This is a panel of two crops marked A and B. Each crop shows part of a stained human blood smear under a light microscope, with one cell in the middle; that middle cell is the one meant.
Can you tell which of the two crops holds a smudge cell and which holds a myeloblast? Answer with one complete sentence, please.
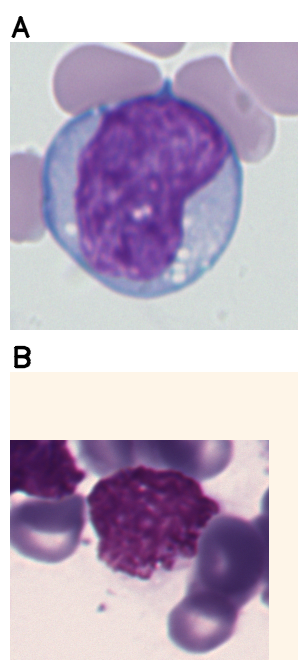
Crop A has been identified as a myeloblast, and crop B has been identified as a smudge cell.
